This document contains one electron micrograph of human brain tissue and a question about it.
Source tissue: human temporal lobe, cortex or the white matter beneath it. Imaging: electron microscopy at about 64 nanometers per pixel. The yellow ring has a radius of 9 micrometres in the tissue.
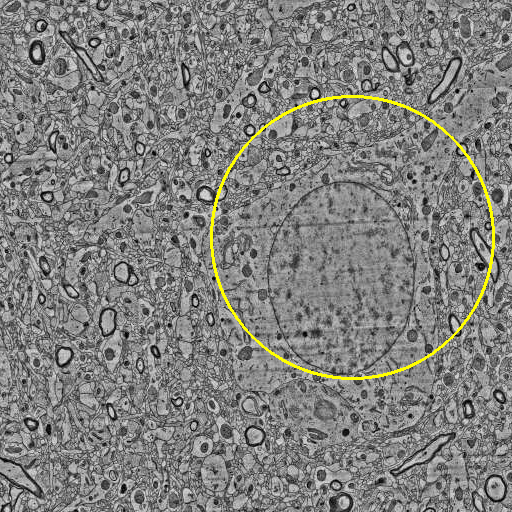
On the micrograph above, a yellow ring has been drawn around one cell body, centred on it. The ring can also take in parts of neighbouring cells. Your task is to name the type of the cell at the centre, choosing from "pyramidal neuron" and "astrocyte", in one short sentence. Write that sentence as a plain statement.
Here the ring is centred on a pyramidal neuron.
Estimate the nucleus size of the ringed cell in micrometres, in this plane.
The nucleus is approximately 12 micrometers long by 9 micrometers wide in this plane.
